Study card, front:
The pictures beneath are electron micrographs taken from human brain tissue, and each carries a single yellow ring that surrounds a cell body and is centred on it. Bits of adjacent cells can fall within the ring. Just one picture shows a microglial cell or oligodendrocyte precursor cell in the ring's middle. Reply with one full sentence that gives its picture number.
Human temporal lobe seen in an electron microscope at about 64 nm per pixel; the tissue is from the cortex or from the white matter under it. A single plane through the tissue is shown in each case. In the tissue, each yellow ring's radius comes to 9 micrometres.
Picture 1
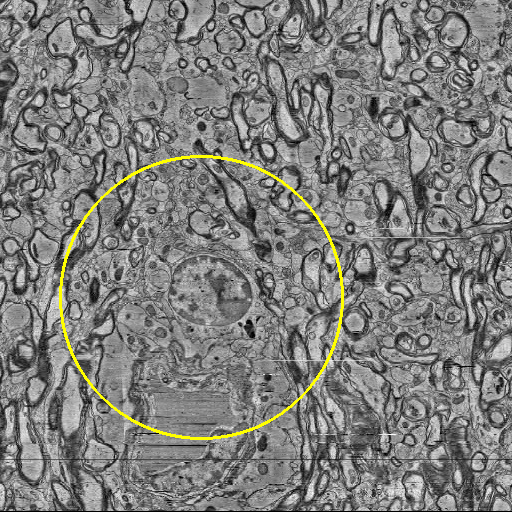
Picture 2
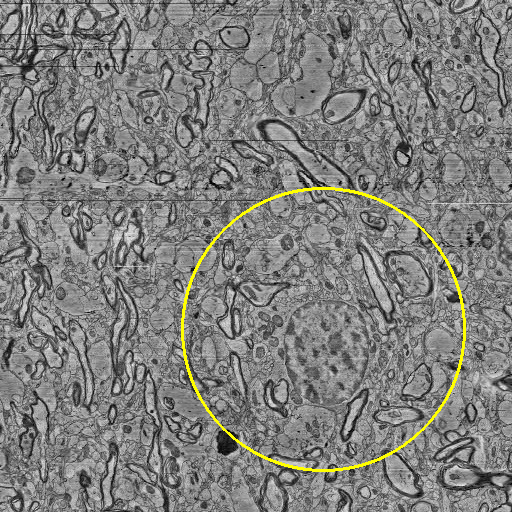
Picture 1 is the one whose ring has the requested cell at its centre.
